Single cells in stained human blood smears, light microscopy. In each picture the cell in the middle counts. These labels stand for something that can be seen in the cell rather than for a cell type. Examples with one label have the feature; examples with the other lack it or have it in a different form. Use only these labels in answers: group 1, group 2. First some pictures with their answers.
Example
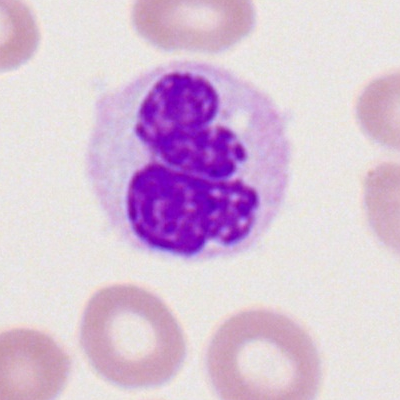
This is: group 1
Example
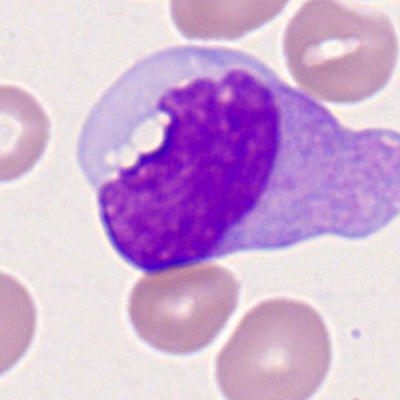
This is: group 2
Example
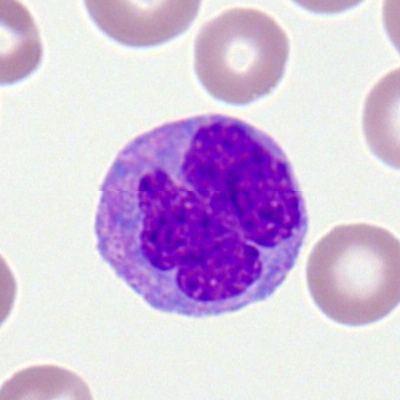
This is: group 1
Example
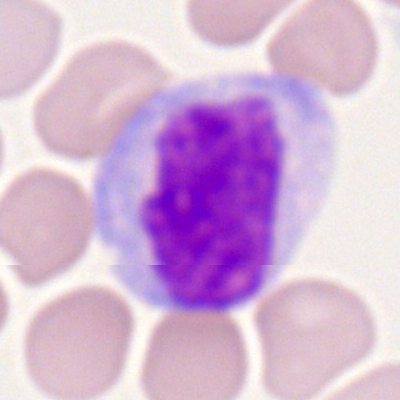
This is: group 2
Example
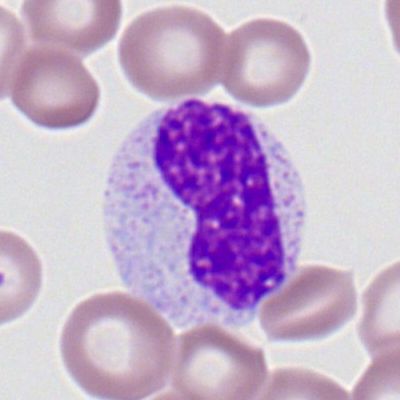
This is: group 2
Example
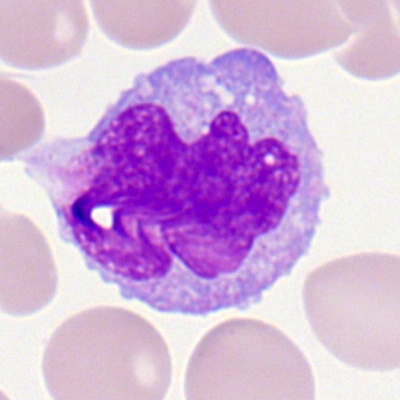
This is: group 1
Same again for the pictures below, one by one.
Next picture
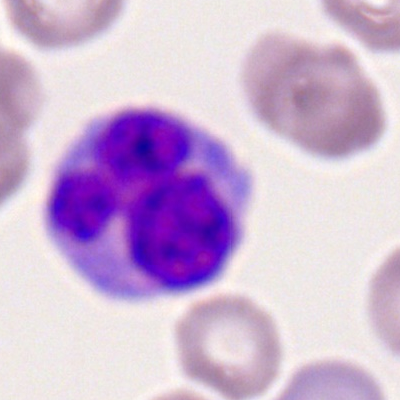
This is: group 1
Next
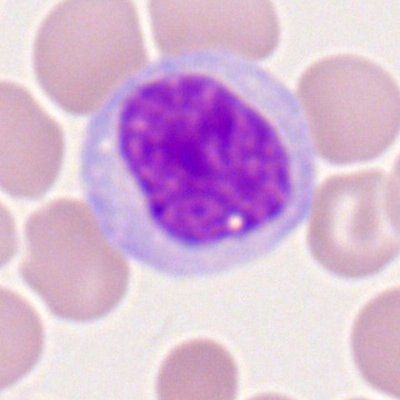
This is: group 2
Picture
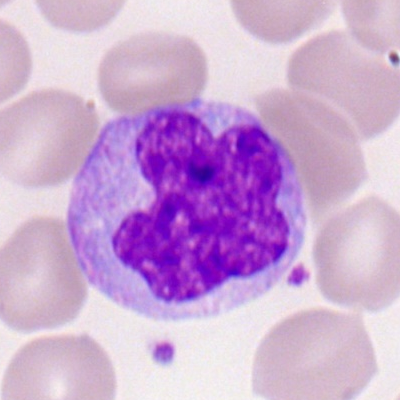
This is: group 1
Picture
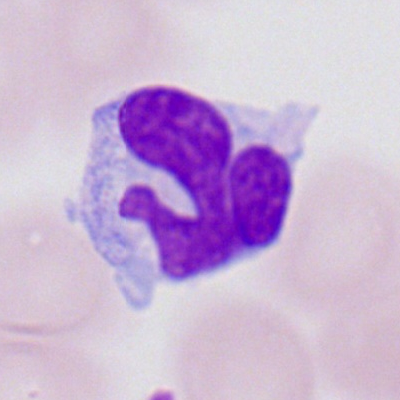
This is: group 1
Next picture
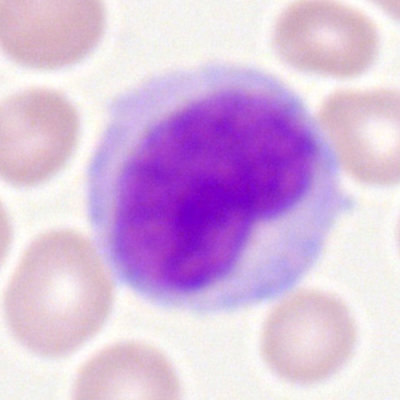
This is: group 2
